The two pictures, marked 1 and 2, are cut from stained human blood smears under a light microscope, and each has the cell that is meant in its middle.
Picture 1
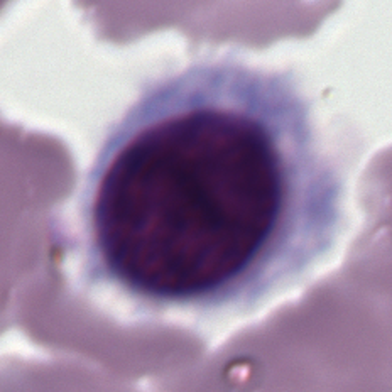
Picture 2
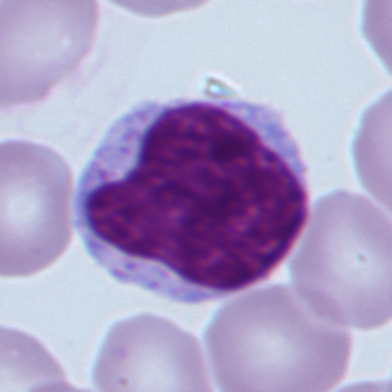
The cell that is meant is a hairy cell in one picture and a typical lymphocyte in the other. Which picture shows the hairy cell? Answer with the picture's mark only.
1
